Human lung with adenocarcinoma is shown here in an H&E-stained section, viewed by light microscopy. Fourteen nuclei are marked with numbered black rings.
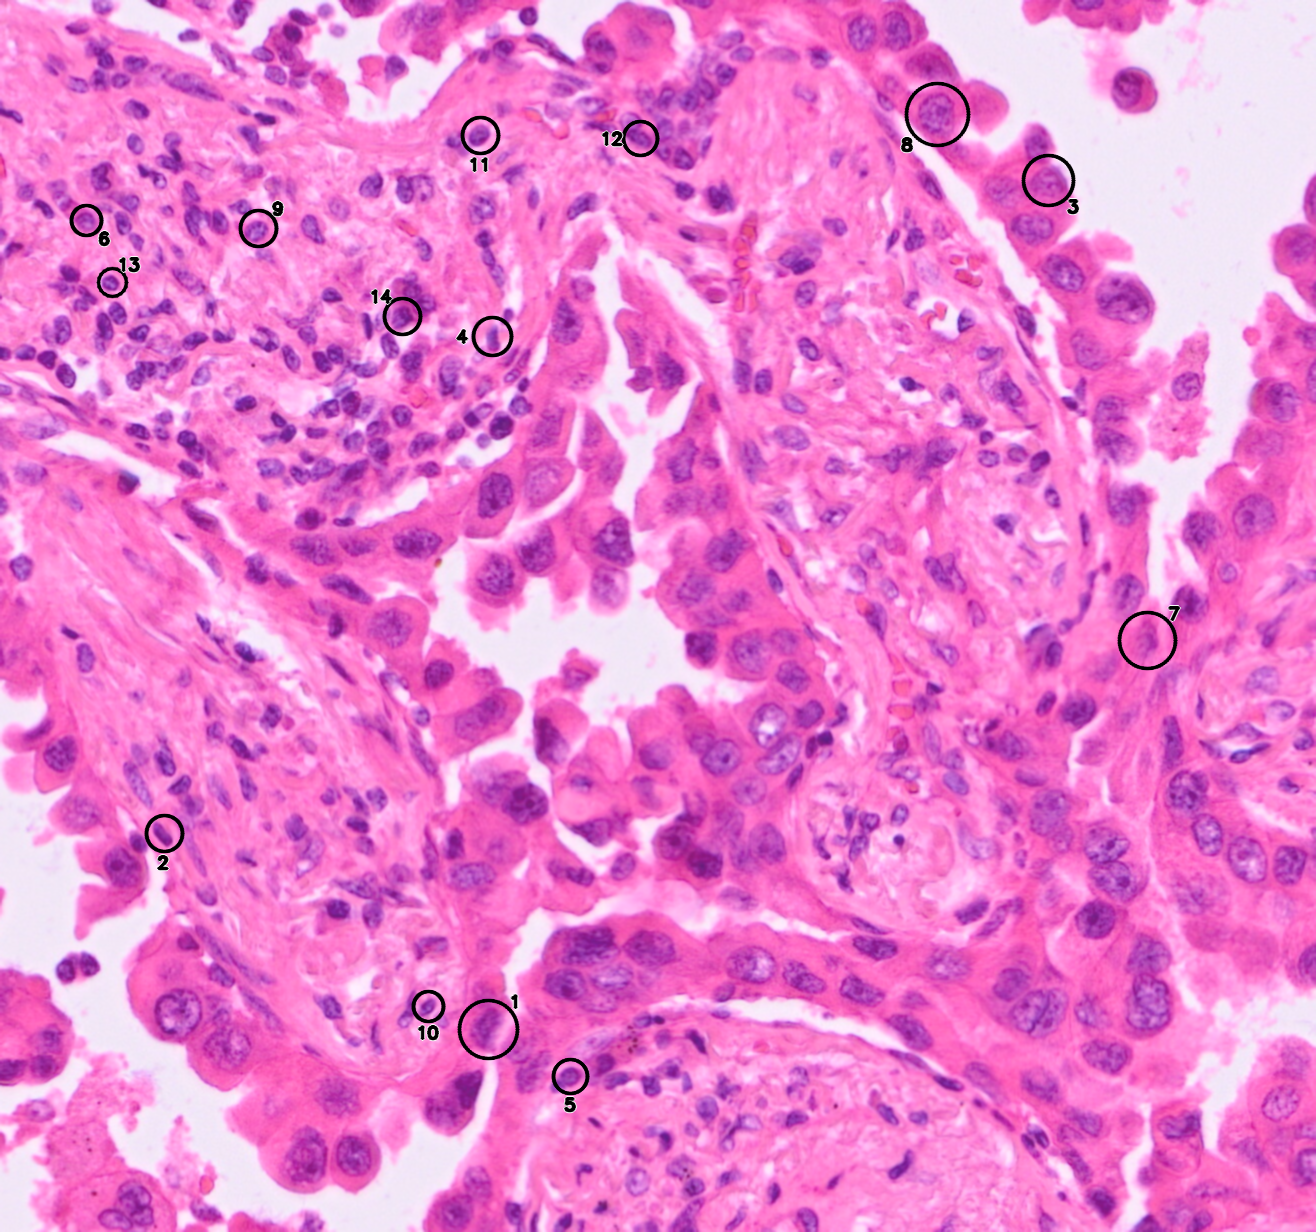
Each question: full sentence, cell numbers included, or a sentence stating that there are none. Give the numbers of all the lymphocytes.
Cells 2, 4, 5, 10, 11 and 13 are of one type, namely lymphocytes.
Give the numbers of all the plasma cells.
The cells numbered 6, 12 and 14 are identified as plasma cells.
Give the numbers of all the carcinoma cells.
The cells given the numbers 1, 3, 7 and 8 are carcinoma cells.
